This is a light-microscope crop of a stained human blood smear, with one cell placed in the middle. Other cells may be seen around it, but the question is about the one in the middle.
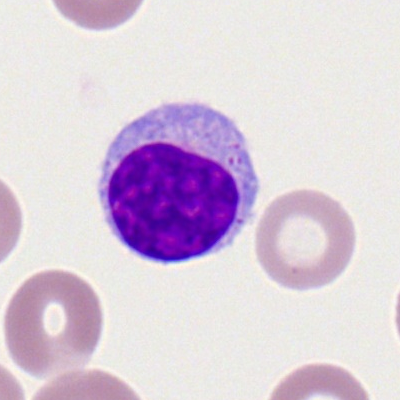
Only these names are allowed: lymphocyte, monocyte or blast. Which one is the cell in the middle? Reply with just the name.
lymphocyte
